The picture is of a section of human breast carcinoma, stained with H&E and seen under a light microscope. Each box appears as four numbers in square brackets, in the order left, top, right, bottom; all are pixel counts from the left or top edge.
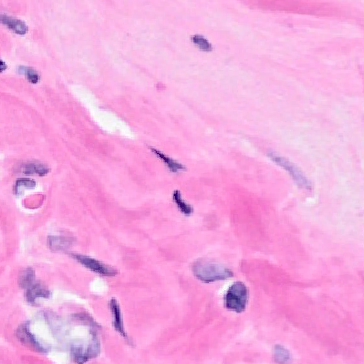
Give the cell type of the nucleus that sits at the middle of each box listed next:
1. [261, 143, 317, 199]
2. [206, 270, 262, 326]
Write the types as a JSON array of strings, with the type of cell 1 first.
["fibroblast", "lymphocyte"]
